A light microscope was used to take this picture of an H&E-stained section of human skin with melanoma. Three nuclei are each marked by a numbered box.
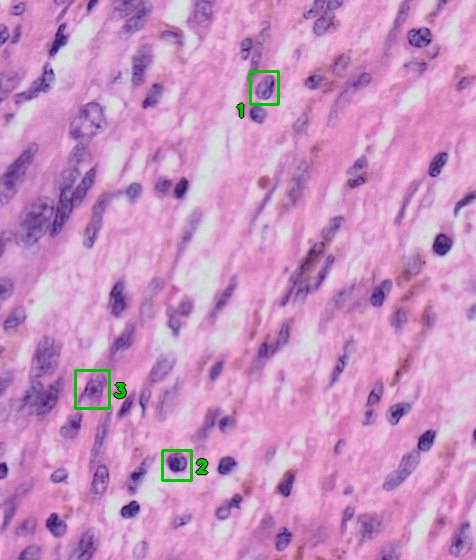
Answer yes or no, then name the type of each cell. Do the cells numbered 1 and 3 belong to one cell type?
No, cell 1 is recognized as a lymphocyte, and cell 3 as a melanoma cell.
